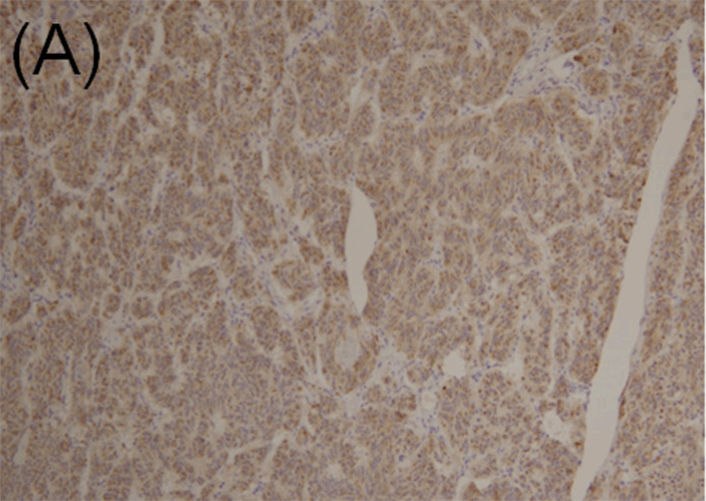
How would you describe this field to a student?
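This tumour tissue is composed of epithelioid cells arranged in solid nests and trabeculae. The cells show diffuse light-brown staining throughout their cytoplasm, so the nests appear as uniformly tan areas. Between the nests run thin septa with scattered small blue nuclei and little staining. Several empty vascular spaces are present, including a long narrow channel on the right and a smaller one near the centre.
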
